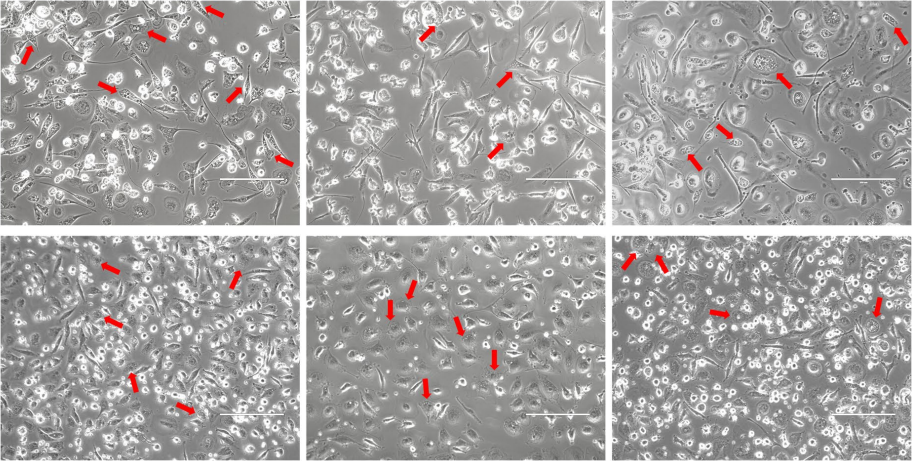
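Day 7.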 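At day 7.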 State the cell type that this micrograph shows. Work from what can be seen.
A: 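Macrophages. Adherent cells scattered over the dish, some rounded, some flattened and some elongated. Many cells have bright phase-contrast halos and a granular cytoplasm.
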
